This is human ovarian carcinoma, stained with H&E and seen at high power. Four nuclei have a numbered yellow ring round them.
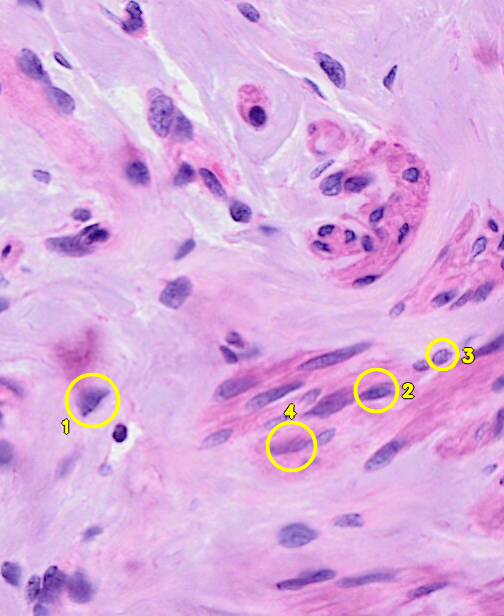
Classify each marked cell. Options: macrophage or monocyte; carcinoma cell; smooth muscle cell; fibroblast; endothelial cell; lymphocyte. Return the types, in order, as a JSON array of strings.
["fibroblast", "smooth muscle cell", "smooth muscle cell", "smooth muscle cell"]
